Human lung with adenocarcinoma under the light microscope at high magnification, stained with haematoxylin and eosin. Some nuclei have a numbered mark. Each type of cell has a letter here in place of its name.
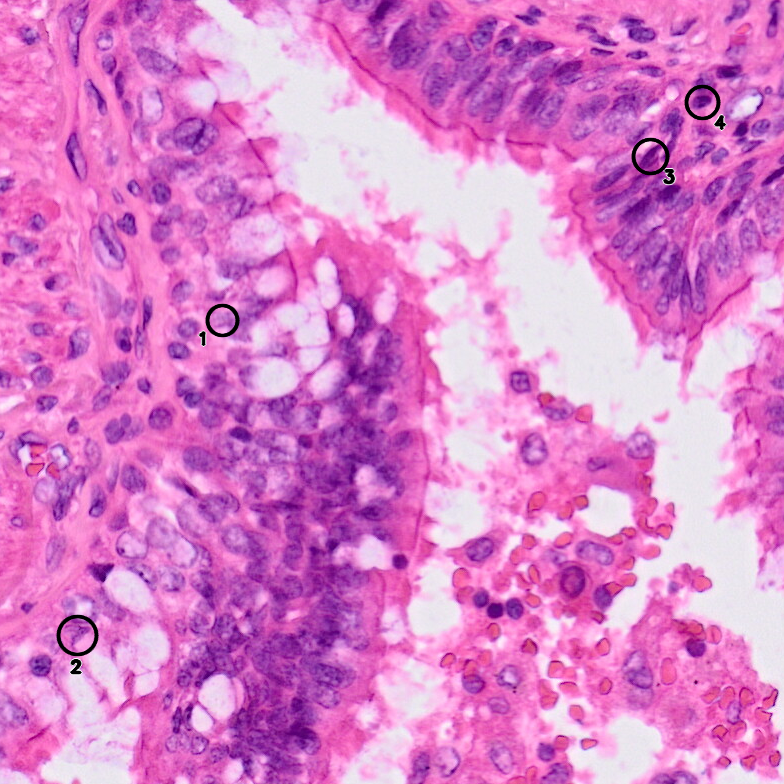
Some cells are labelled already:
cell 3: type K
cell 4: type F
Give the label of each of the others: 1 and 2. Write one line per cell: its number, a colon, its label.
1: type K
2: type K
